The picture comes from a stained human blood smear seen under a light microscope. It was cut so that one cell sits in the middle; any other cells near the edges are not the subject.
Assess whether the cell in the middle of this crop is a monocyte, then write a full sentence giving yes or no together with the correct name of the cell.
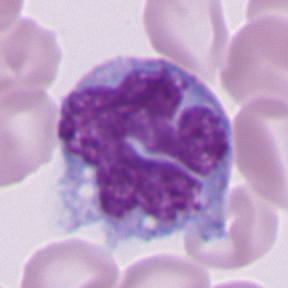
Yes, the cell in the middle is rightly called a monocyte.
